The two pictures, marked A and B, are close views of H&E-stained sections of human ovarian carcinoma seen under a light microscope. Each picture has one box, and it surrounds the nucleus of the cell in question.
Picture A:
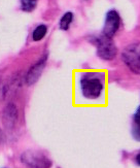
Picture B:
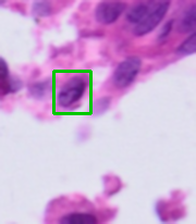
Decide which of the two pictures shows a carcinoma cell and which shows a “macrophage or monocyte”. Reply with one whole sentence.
Picture A shows a carcinoma cell and picture B shows a “macrophage or monocyte”.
